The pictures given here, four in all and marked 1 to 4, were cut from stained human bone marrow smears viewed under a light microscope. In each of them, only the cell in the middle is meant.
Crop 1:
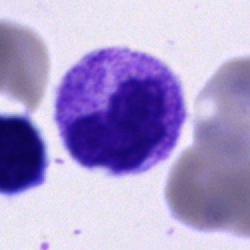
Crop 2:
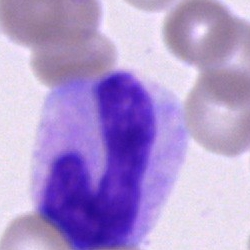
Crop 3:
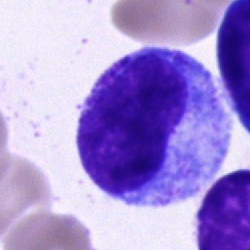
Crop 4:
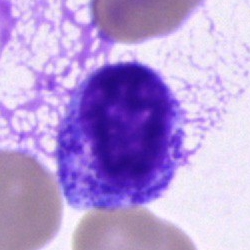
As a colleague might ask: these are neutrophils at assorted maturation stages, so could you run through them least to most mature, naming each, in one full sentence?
Least to most mature, the crops line up as crop 3 (a promyelocyte), crop 4 (a myelocyte), crop 1 (a metamyelocyte) and crop 2 (a band neutrophil).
